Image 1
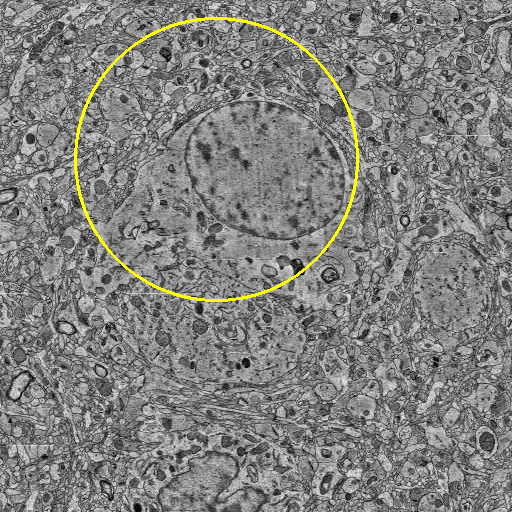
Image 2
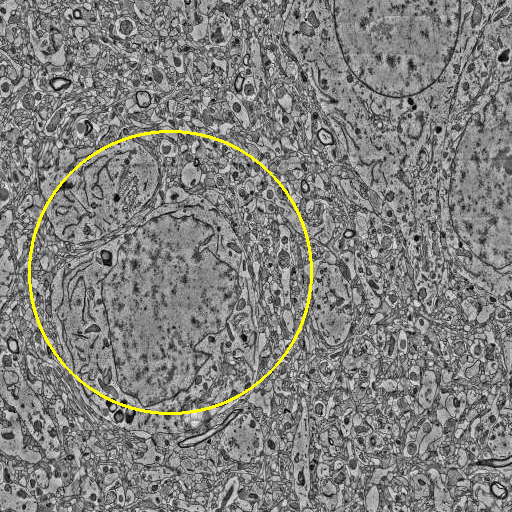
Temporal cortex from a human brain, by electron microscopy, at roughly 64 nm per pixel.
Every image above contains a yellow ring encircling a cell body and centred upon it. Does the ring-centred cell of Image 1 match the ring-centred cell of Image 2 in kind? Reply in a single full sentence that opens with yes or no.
No, the cell at the ring's centre in Image 1 is a separate kind from that in Image 2.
